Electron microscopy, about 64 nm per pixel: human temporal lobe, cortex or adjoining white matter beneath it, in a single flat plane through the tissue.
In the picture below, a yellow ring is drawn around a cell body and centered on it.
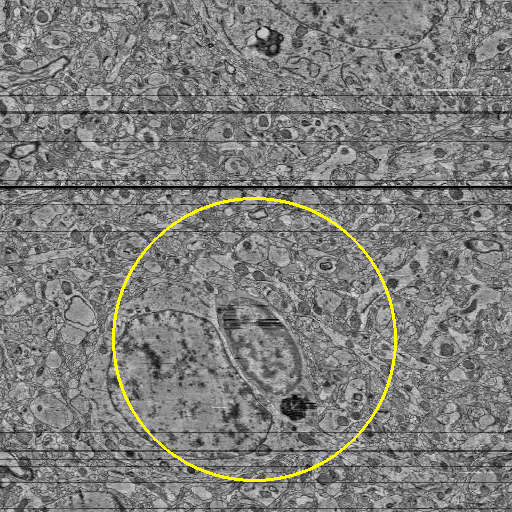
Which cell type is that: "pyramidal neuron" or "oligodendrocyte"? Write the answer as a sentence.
The cell centered in the ring is an oligodendrocyte.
